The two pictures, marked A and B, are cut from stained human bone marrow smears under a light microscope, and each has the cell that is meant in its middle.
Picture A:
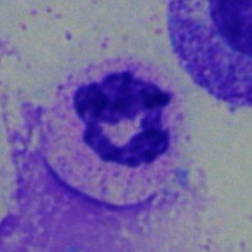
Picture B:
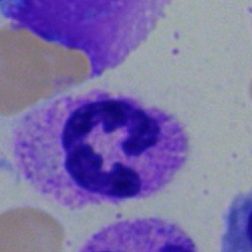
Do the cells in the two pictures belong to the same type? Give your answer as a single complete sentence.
Yes, both are segmented neutrophils.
